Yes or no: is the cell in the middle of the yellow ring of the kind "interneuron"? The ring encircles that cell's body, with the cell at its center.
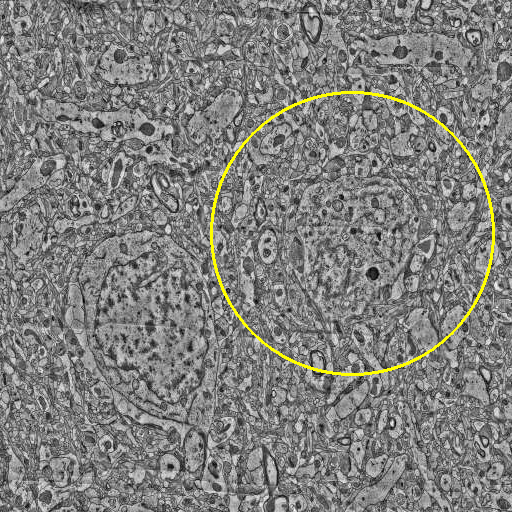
yes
